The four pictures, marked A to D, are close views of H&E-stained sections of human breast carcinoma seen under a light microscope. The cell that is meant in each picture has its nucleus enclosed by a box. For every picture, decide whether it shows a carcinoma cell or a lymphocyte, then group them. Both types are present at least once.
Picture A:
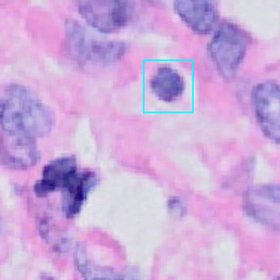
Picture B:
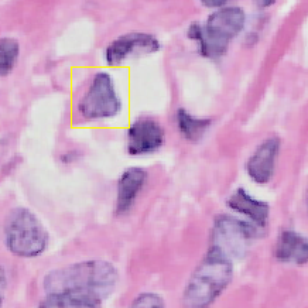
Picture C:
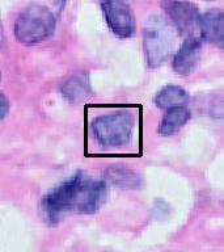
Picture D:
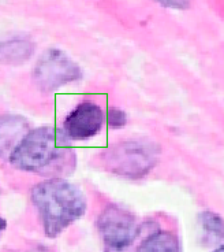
A: lymphocyte
B: carcinoma cell
C: carcinoma cell
D: carcinoma cell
